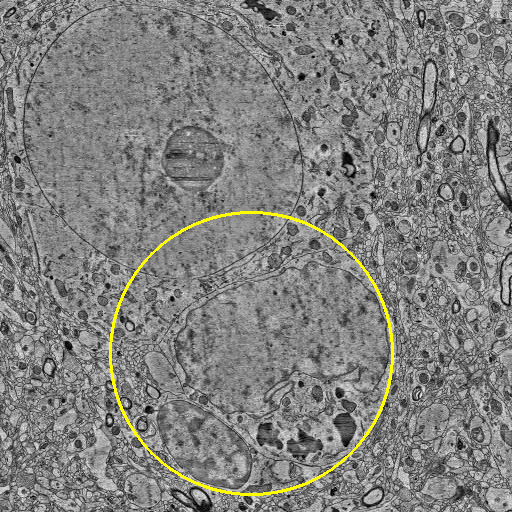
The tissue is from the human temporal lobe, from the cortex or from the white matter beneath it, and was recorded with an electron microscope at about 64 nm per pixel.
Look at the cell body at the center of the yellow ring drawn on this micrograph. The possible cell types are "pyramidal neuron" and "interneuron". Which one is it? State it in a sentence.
The cell in the middle of the ring is an interneuron.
